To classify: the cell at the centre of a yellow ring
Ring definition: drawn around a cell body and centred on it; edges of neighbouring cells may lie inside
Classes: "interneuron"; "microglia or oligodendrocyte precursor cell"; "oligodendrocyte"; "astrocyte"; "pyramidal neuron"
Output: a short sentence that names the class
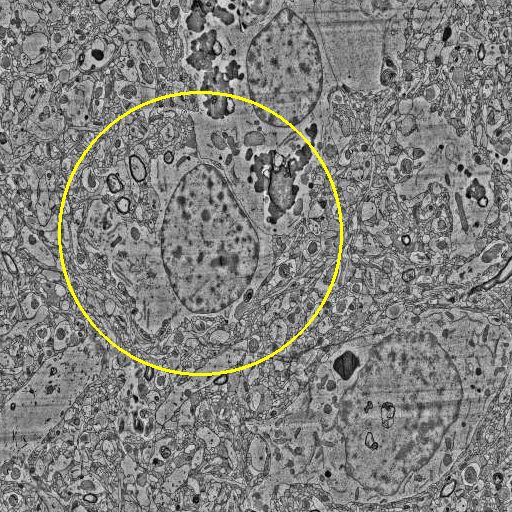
The ringed cell is an astrocyte.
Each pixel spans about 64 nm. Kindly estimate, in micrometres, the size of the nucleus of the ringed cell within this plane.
The nucleus works out at approximately 9 by 6 micrometres in this plane.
